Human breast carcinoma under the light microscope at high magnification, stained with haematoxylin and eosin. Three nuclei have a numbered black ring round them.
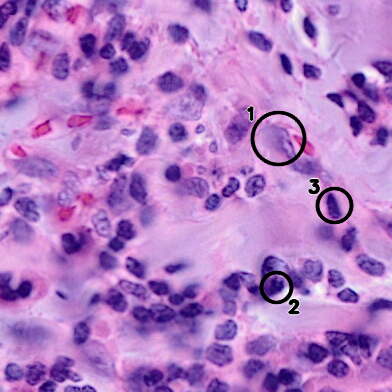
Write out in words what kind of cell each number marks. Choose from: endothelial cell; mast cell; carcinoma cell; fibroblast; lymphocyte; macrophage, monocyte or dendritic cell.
Cell 1 is an endothelial cell, cell 2 is a lymphocyte and cell 3 is a lymphocyte.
